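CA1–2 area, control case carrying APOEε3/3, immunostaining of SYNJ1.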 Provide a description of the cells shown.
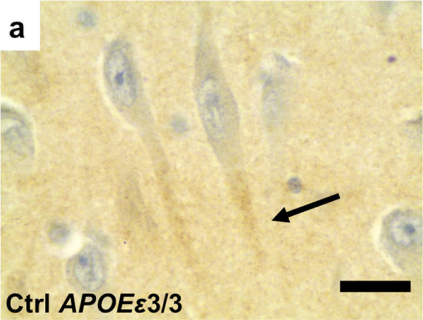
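Hippocampal pyramidal neurons with elongated, tapering cell bodies and large pale nuclei lie in pale neuropil with almost no brown in their cytoplasm. Long thin processes run from their apices in parallel, showing faint brown, the dendrites.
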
